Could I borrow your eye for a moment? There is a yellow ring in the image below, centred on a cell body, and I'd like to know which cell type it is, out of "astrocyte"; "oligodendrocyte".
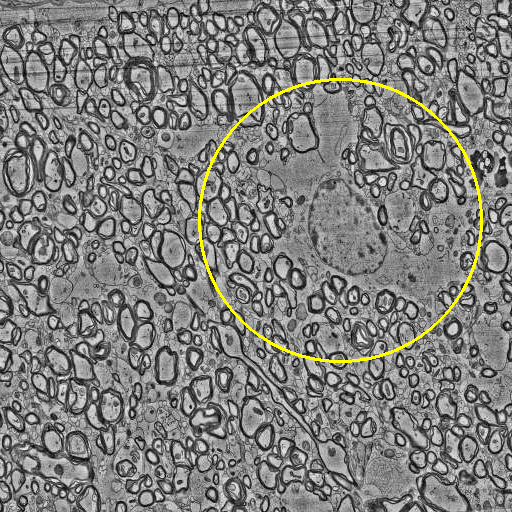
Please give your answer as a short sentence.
The cell body at the centre is that of an astrocyte.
